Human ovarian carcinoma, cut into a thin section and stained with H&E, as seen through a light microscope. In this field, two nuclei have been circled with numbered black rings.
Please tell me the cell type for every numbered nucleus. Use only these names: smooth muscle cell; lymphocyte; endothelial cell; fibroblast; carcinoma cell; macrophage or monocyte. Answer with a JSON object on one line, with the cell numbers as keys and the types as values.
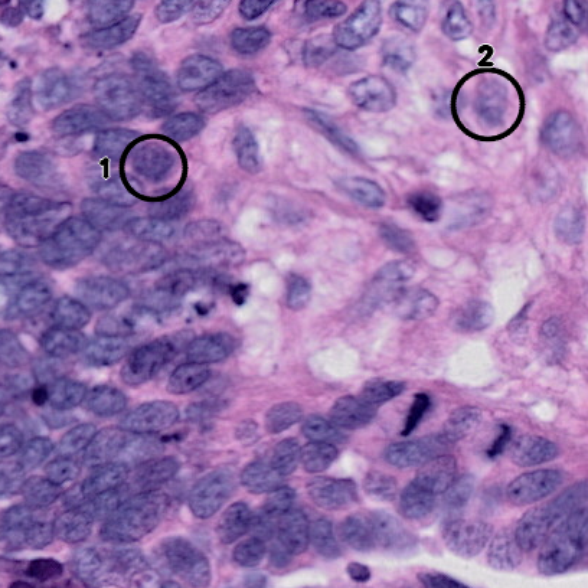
{"1": "carcinoma cell", "2": "fibroblast"}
